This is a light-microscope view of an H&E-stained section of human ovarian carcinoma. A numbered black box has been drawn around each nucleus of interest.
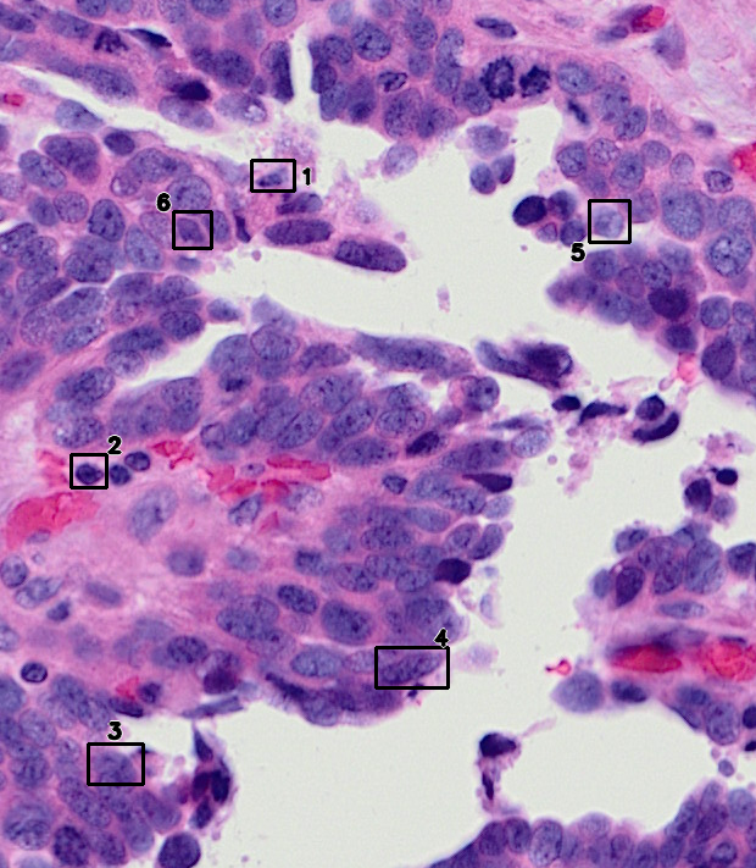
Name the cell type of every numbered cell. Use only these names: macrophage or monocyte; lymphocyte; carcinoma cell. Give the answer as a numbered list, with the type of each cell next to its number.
1. macrophage or monocyte
2. lymphocyte
3. carcinoma cell
4. carcinoma cell
5. carcinoma cell
6. carcinoma cell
